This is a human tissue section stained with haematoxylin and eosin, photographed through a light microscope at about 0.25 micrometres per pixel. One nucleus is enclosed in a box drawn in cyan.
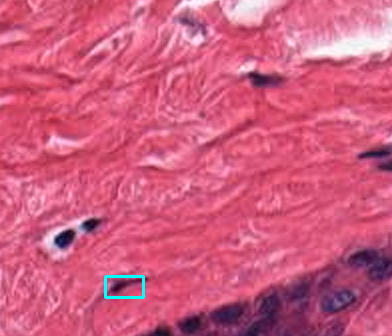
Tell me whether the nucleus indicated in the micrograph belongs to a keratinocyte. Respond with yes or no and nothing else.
no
